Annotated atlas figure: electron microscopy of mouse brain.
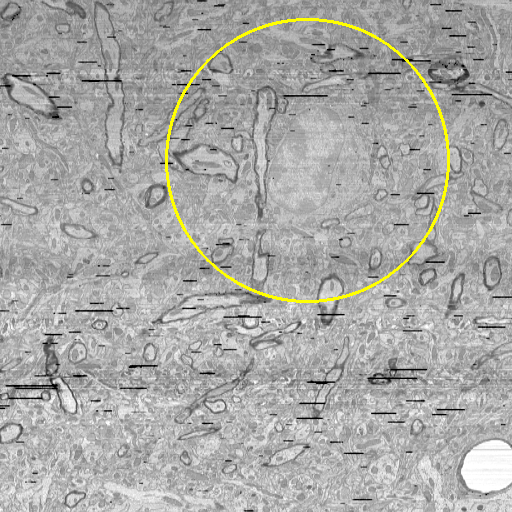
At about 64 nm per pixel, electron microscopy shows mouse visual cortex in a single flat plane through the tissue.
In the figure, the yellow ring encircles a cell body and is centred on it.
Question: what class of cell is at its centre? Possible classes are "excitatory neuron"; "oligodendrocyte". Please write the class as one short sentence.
The yellow ring is drawn around an oligodendrocyte.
